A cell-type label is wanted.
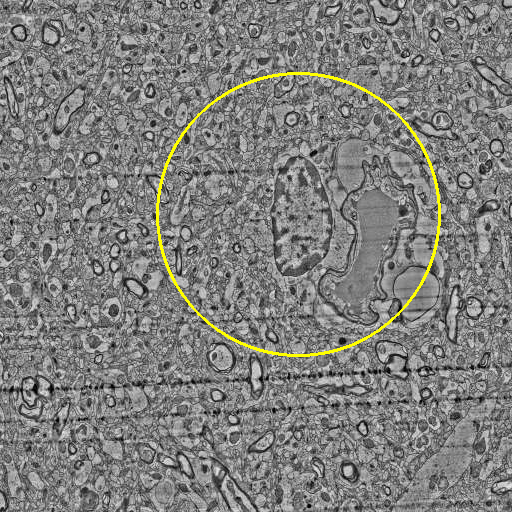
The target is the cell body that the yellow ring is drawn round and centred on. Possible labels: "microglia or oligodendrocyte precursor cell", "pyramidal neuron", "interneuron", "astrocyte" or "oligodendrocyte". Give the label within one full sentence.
Of the labels offered, the cell in the middle of the yellow ring is a microglial cell or oligodendrocyte precursor cell.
